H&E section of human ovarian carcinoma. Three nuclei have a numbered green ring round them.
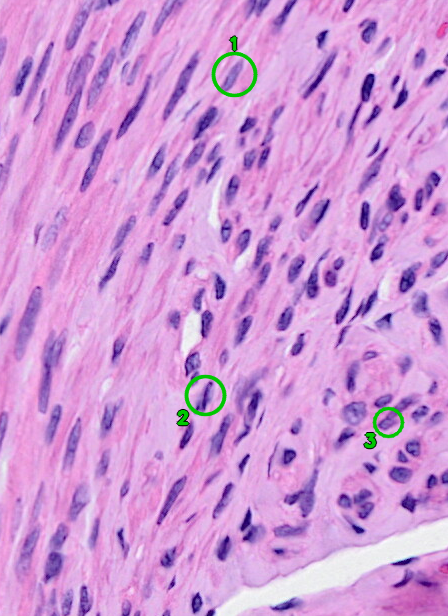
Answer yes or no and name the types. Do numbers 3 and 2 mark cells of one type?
No, sorry to say, cell 3 is a smooth muscle cell and cell 2 is a fibroblast.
